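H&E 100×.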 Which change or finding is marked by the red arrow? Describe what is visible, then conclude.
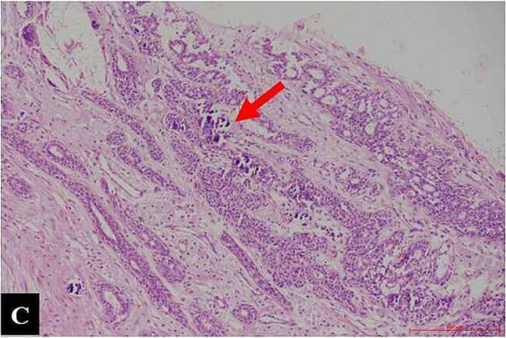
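Dark purple, clumped deposits lie where the red arrow points. The deposits sit among crowded small glands.
Calcification.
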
